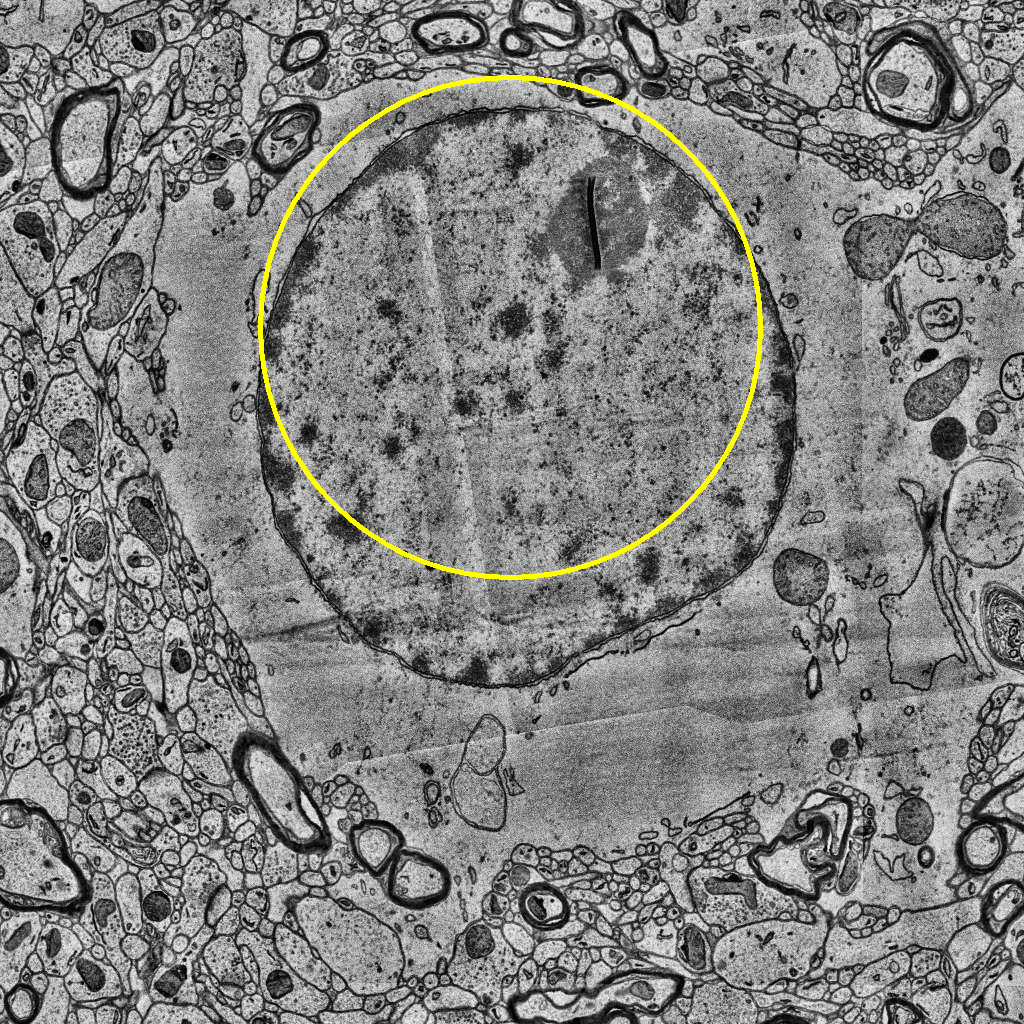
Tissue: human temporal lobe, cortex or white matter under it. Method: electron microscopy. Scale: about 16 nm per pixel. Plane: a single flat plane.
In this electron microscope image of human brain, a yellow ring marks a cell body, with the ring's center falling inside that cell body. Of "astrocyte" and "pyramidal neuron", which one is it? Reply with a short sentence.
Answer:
It is an astrocyte at the center of the ring.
